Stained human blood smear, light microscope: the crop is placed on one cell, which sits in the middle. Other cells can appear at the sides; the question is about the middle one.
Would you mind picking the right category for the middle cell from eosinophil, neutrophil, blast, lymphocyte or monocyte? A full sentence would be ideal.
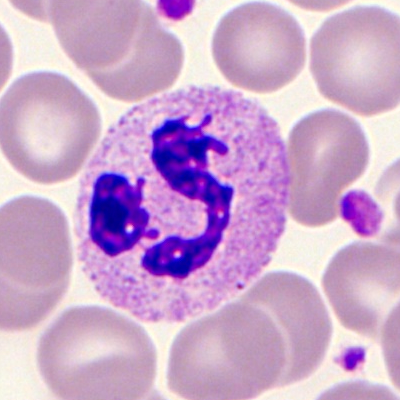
In the middle of this smear crop, the cell is a neutrophil.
